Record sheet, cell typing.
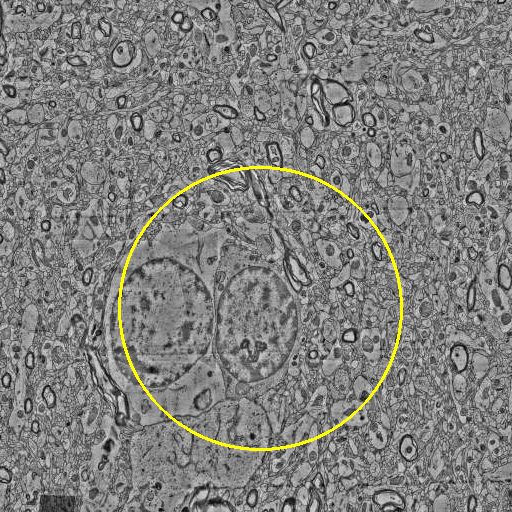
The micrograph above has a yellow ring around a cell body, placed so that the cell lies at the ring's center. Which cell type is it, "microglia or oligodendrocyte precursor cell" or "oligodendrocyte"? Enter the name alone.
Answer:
oligodendrocyte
